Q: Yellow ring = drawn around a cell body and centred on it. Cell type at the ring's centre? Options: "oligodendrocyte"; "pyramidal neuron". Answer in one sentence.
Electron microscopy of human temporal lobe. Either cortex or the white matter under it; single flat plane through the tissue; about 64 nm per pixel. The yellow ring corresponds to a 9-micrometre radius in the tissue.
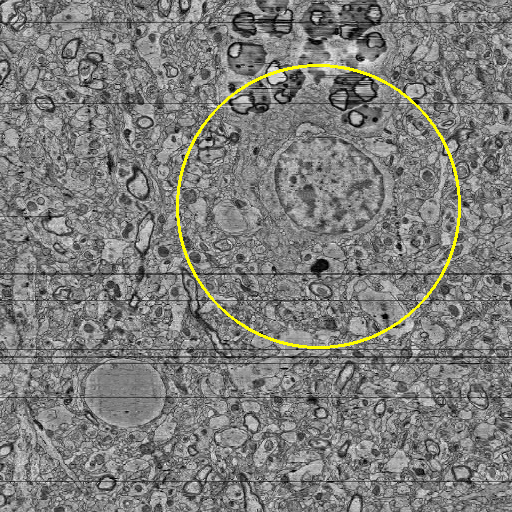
Centred in the ring is an oligodendrocyte.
